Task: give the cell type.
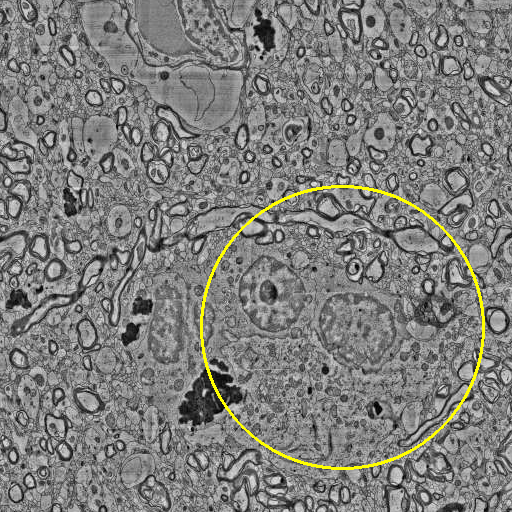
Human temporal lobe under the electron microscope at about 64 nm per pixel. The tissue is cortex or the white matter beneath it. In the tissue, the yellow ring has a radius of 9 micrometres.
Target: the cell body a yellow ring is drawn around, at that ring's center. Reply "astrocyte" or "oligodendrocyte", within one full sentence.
In this picture, the cell whose body lies at the ring's center is an oligodendrocyte.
